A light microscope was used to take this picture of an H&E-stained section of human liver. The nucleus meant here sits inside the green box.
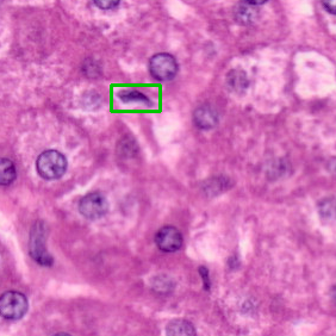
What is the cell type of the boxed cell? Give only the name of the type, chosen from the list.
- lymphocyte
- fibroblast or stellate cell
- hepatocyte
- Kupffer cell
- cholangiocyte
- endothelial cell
endothelial cell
